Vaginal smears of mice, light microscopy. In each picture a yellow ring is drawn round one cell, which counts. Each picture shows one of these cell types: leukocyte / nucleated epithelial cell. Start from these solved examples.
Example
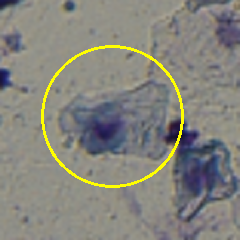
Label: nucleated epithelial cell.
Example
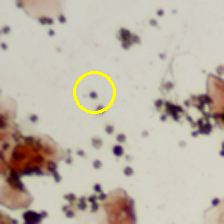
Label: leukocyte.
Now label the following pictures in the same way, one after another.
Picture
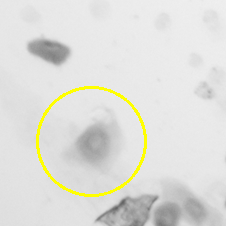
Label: nucleated epithelial cell.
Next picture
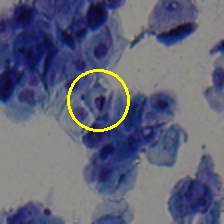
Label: nucleated epithelial cell.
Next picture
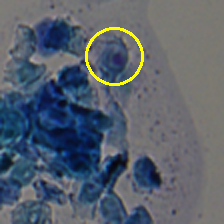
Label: nucleated epithelial cell.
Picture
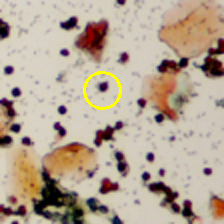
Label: leukocyte.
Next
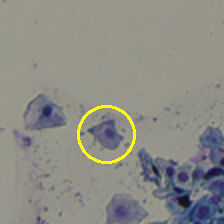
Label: nucleated epithelial cell.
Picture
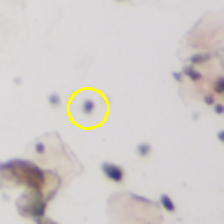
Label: leukocyte.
